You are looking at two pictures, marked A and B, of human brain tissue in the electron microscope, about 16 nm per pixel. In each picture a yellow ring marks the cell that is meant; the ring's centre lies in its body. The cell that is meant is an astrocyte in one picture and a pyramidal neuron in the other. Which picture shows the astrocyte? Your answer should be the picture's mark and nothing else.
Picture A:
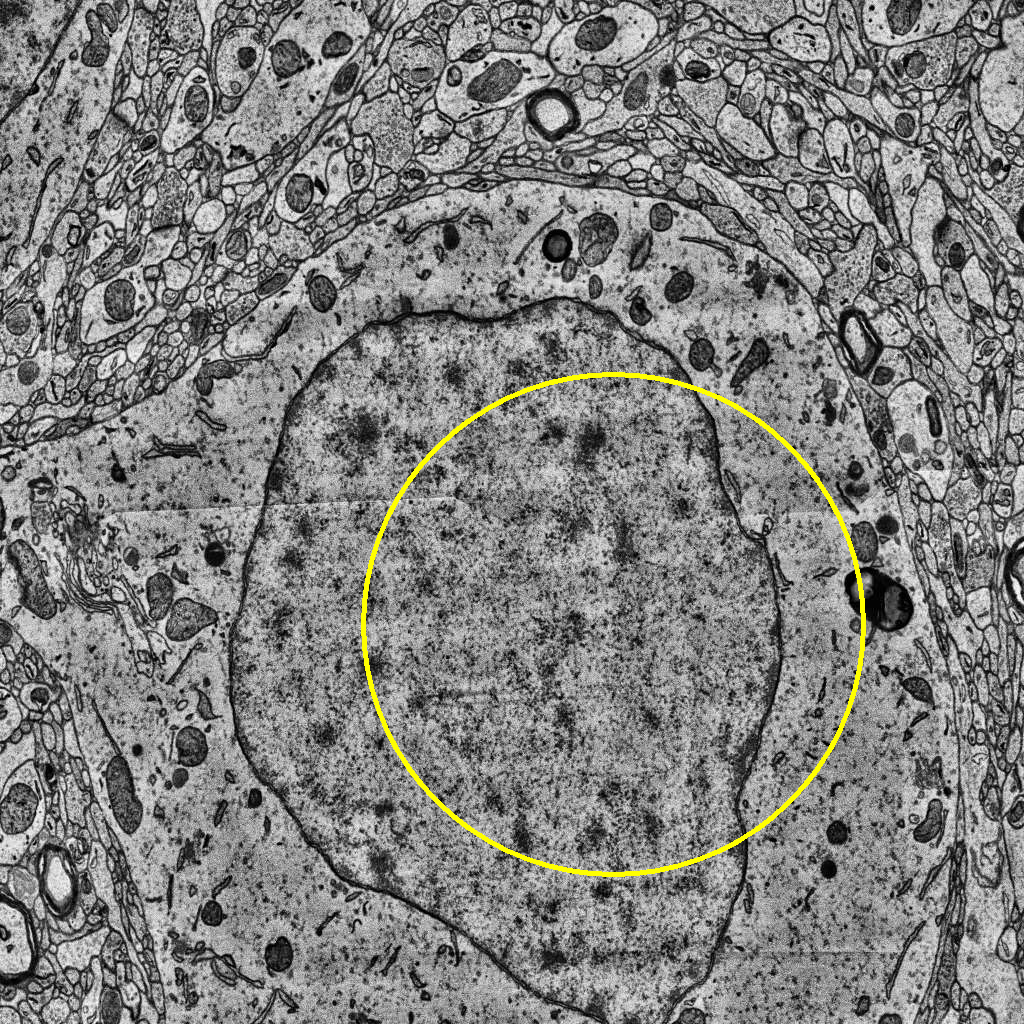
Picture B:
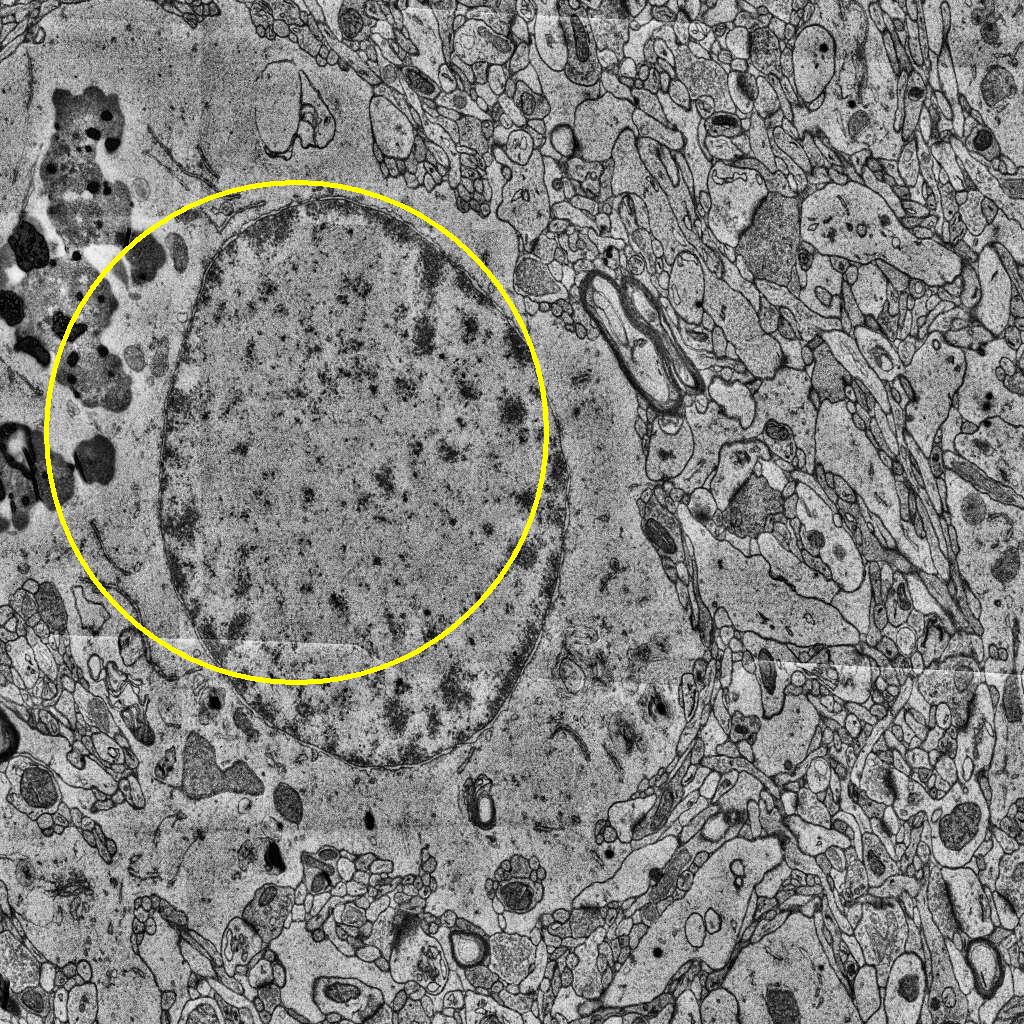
B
